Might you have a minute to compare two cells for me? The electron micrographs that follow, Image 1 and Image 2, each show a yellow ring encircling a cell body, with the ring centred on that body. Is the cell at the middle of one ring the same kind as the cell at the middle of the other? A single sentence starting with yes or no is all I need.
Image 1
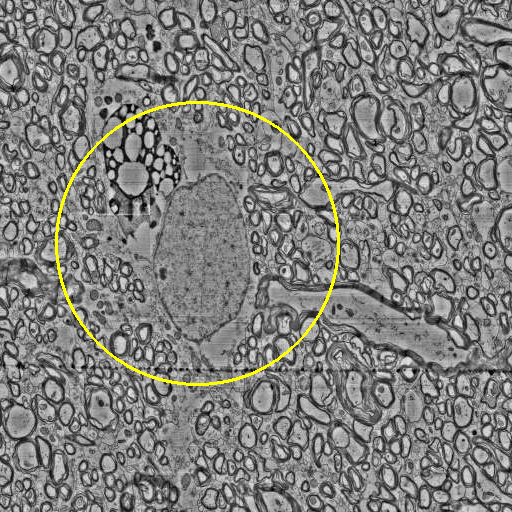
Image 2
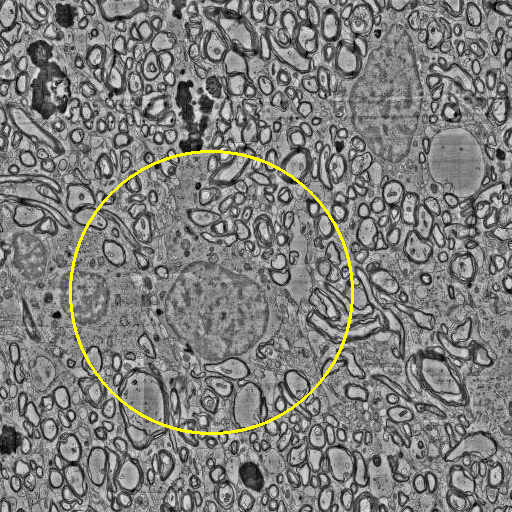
No, the cells in the middle of the two rings are of two separate kinds.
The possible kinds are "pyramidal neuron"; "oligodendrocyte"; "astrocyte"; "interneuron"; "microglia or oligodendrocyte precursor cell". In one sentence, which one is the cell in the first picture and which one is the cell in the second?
The cell ringed in the second picture is an oligodendrocyte, whereas the one ringed in the first is an astrocyte.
